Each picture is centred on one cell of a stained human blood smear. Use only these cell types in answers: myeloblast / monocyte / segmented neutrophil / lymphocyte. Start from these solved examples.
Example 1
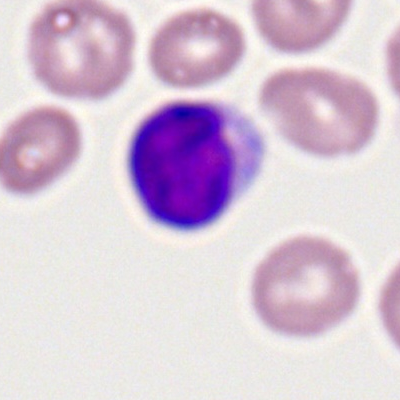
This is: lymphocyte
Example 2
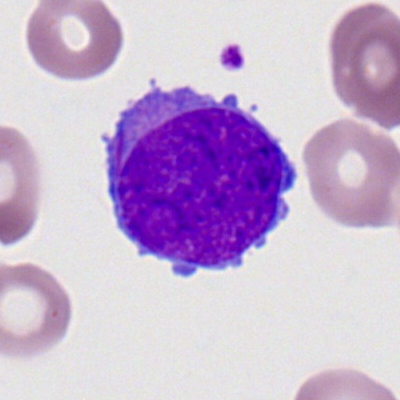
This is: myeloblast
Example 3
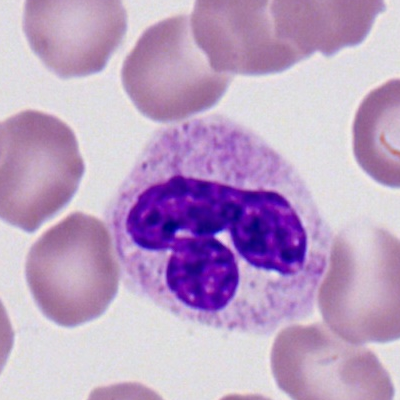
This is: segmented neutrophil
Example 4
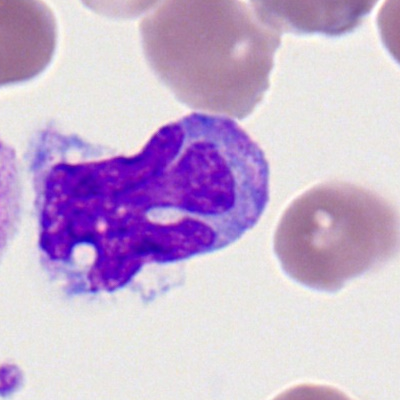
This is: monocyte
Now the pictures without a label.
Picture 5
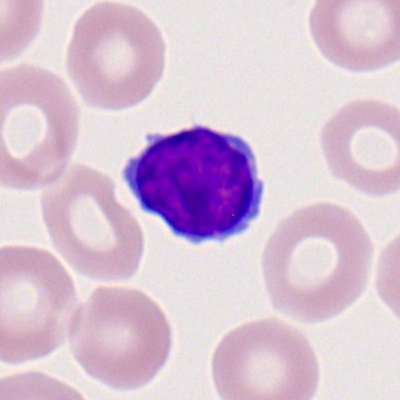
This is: lymphocyte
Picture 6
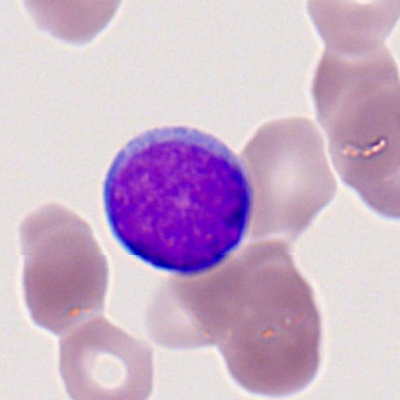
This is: myeloblast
